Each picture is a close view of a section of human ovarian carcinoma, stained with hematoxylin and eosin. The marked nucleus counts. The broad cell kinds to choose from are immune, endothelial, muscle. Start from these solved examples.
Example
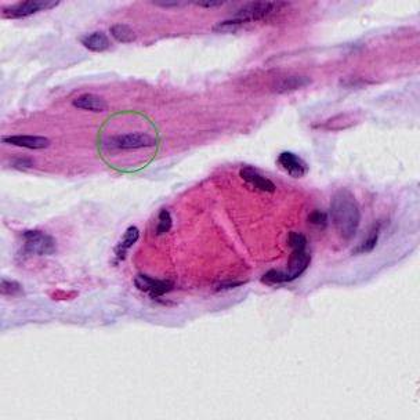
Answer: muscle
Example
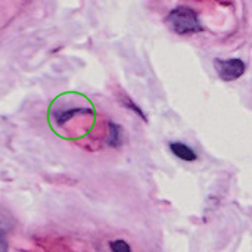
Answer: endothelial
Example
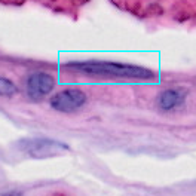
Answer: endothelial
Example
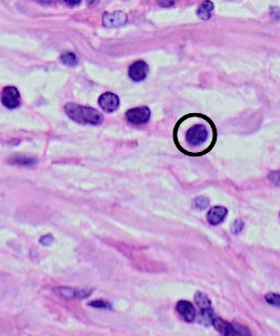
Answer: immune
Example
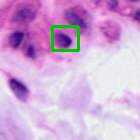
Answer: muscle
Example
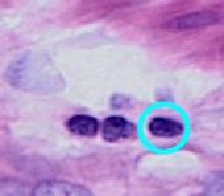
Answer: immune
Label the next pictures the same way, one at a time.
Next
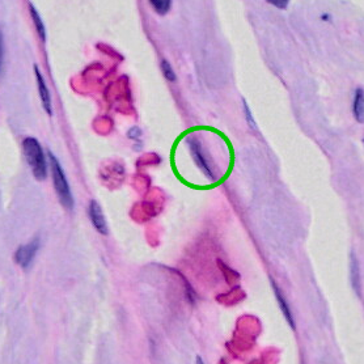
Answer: endothelial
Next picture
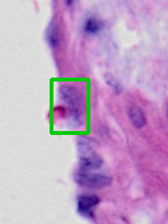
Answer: endothelial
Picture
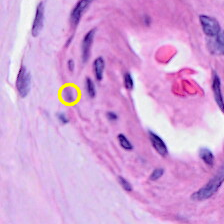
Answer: muscle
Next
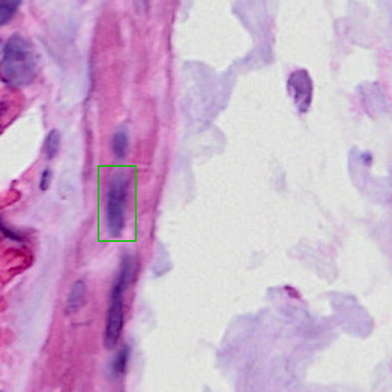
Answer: muscle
